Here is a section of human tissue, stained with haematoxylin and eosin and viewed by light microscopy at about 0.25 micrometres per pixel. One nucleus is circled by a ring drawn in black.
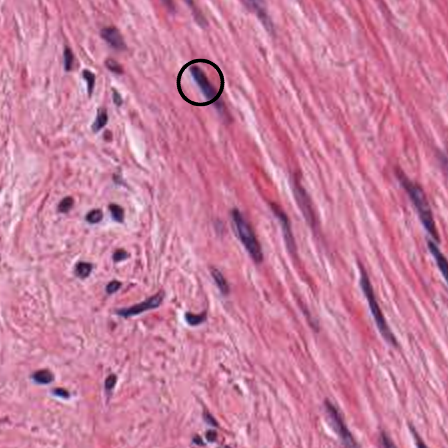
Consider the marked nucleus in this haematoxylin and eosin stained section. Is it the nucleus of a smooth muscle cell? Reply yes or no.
yes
